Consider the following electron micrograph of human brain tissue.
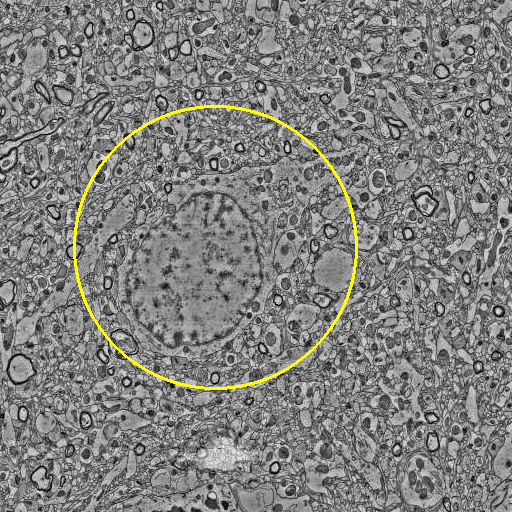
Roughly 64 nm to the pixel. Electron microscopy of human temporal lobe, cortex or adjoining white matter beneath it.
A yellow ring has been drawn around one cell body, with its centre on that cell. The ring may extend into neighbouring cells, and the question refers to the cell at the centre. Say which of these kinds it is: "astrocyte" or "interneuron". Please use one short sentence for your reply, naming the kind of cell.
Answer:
The centre of the ring falls on an interneuron.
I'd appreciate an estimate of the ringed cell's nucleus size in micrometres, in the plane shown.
The nucleus measures about 10 by 8 micrometres in this plane.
